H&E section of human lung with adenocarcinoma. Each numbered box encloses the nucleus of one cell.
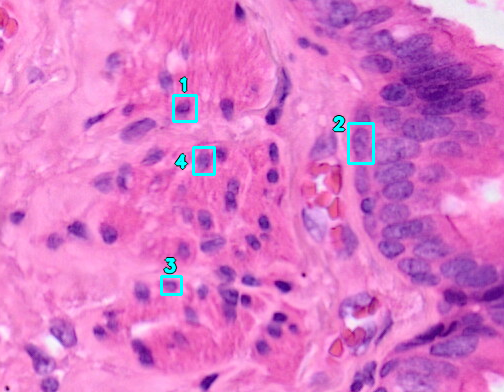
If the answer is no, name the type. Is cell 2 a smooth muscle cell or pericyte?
No, it is a ciliated epithelial cell.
